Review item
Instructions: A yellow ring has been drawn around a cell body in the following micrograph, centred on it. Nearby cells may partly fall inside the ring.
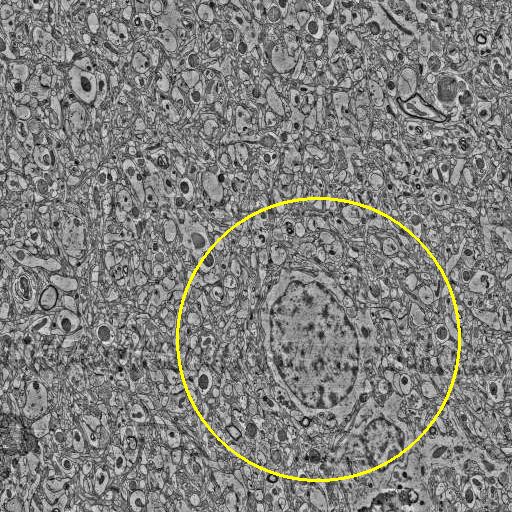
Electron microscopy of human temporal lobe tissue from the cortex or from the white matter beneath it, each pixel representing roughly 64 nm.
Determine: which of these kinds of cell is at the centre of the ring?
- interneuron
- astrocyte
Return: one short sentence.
The cell body in the middle of the ring is that of an astrocyte.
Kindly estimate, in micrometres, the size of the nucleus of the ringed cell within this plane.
The nucleus comes to approximately 8 by 5 micrometres and is clearly longer than it is wide in this plane.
